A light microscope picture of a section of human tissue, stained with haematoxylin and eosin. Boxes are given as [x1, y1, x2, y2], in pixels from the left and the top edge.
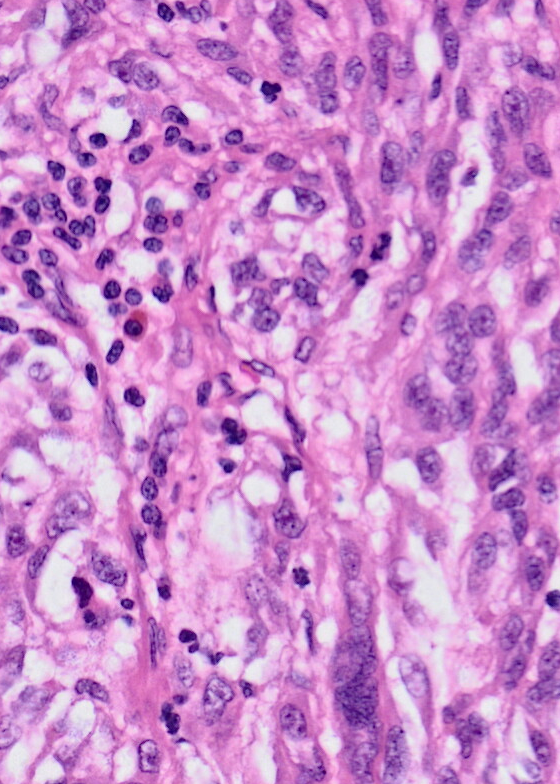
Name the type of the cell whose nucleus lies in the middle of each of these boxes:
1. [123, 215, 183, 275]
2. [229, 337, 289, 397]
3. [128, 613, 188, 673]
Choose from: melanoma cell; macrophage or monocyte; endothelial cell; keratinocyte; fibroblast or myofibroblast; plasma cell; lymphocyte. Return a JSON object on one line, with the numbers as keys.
{"1": "lymphocyte", "2": "endothelial cell", "3": "endothelial cell"}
